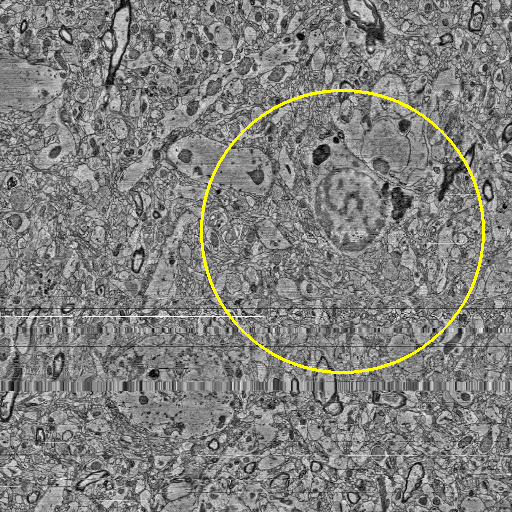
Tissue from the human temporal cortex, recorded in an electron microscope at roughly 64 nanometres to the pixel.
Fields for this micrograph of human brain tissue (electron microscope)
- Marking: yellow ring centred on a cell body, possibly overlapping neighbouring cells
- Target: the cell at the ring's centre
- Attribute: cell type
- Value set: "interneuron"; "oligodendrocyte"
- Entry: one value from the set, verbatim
oligodendrocyte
